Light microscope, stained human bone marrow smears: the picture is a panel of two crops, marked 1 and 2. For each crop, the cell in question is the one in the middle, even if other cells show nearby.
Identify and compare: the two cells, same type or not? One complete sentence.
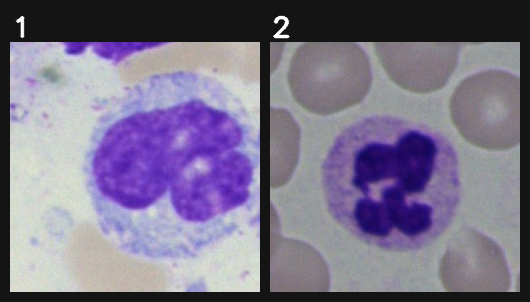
No, crop 1 captures a monocyte; meanwhile crop 2 captures a segmented neutrophil.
